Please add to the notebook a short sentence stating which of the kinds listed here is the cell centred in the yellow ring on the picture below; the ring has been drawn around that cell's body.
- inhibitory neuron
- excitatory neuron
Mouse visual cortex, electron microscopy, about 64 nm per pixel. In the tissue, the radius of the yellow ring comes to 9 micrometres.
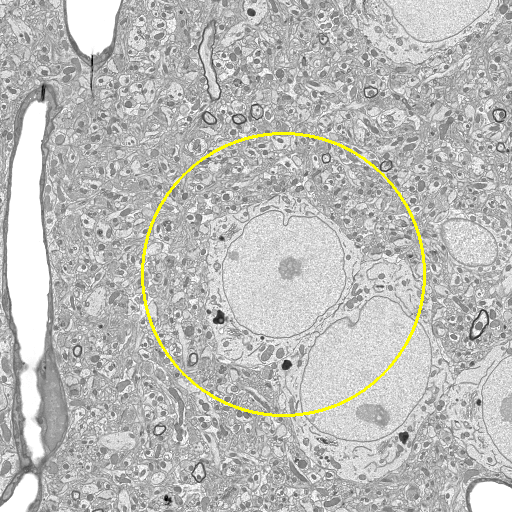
The cell centred in the yellow ring is an excitatory neuron.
